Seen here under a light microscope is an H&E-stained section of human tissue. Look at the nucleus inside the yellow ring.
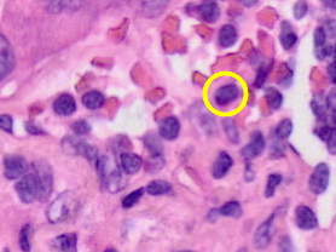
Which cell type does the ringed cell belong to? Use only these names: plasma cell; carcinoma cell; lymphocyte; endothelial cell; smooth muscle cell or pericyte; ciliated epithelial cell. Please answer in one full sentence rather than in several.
In short, the ringed cell on this section is a lymphocyte.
